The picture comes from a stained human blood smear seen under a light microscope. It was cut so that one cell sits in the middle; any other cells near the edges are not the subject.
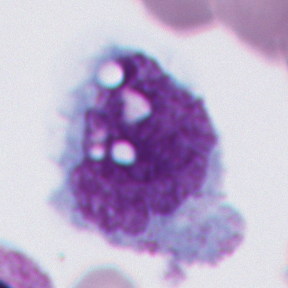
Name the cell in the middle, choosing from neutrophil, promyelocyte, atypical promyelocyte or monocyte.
monocyte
